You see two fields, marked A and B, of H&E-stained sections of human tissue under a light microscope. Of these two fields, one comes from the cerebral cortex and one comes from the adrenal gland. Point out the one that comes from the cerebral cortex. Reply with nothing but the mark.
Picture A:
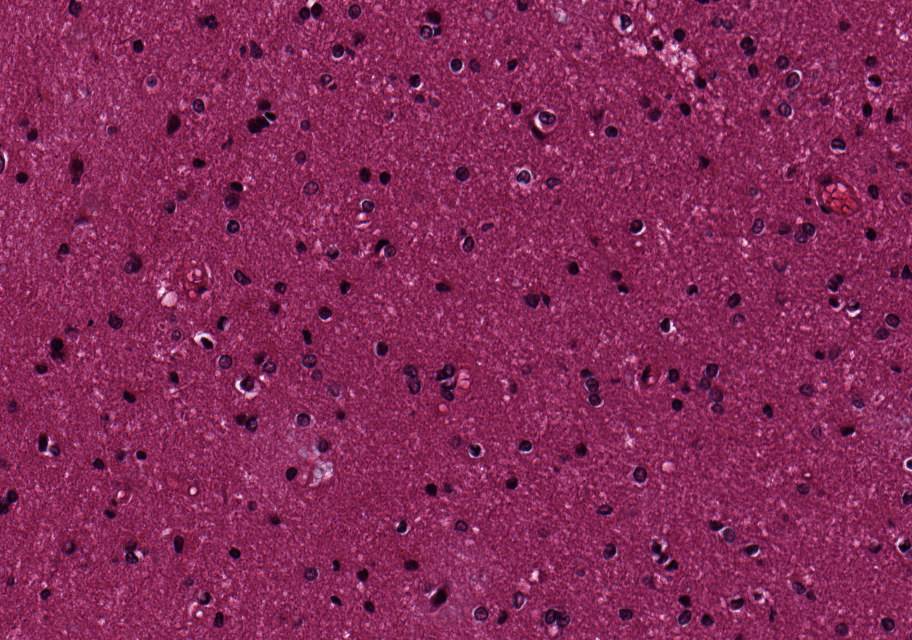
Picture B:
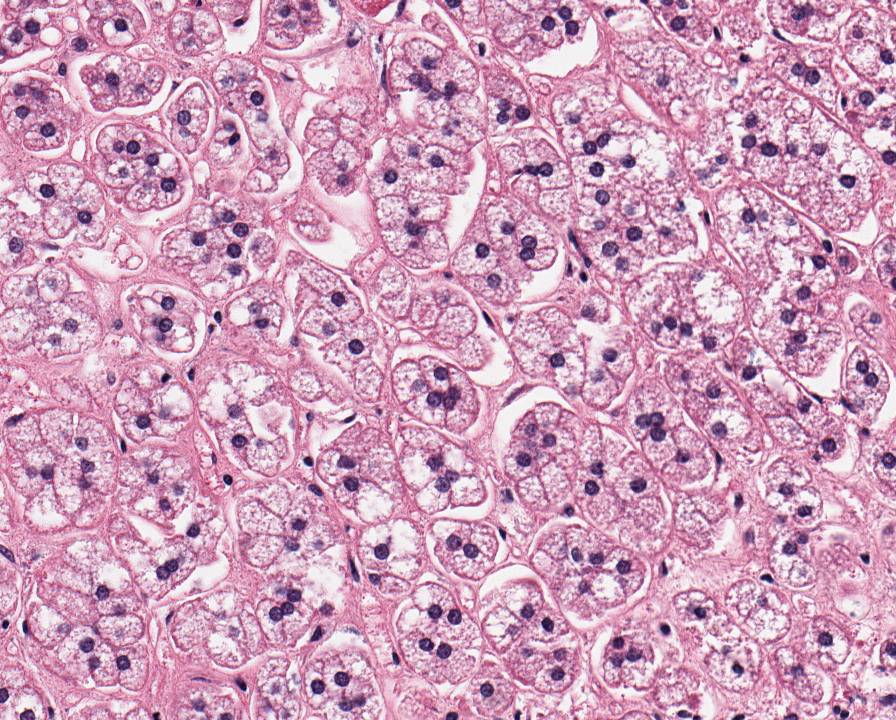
A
